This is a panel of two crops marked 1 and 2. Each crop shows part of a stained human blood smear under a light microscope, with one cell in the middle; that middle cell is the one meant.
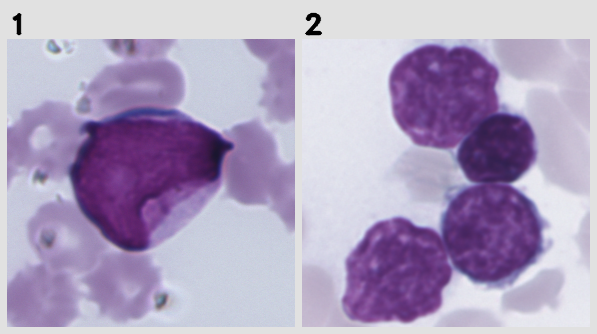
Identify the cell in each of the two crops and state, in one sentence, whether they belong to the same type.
Yes, the cells found in the middle of both crops are myeloblasts.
